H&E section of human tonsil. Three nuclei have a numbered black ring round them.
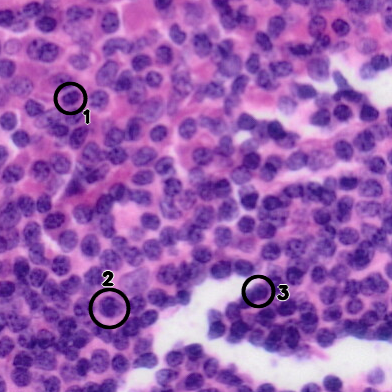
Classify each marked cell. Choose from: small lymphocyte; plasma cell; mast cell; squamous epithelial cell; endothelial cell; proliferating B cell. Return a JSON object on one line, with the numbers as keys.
{"1": "plasma cell", "2": "small lymphocyte", "3": "small lymphocyte"}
